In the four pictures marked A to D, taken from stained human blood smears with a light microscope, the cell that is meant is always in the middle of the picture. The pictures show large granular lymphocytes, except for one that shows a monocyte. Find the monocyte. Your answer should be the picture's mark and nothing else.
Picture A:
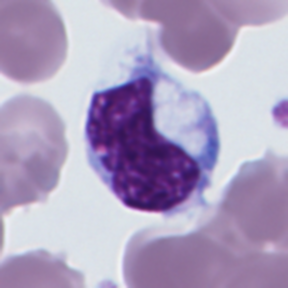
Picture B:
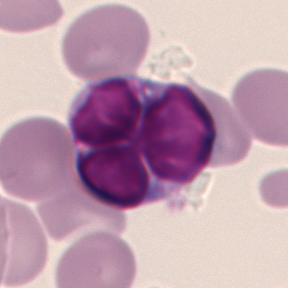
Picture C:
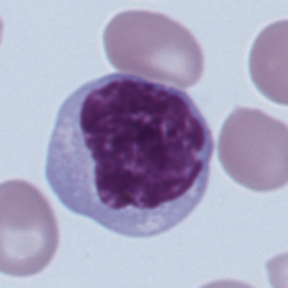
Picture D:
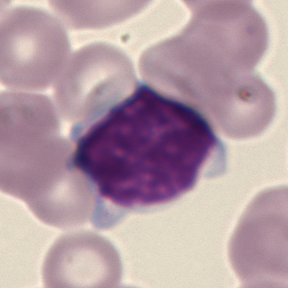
A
